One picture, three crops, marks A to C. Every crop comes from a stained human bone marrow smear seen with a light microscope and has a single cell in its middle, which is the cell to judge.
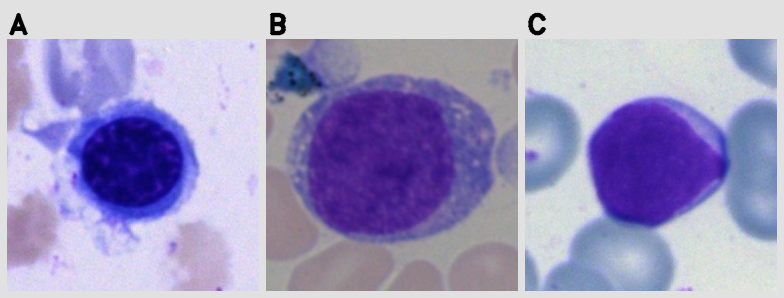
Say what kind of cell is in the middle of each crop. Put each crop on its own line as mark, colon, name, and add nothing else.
A: erythroblast
B: blast
C: lymphocyte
